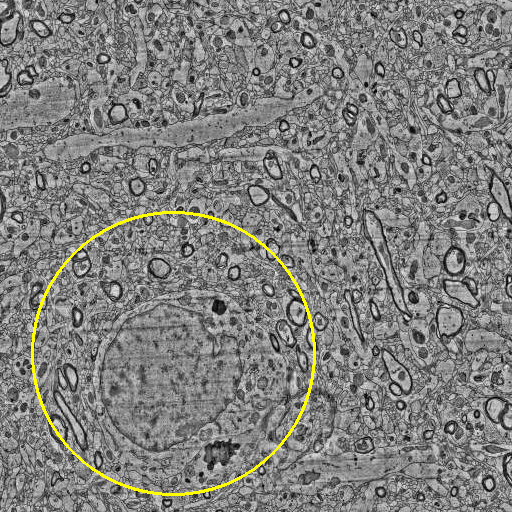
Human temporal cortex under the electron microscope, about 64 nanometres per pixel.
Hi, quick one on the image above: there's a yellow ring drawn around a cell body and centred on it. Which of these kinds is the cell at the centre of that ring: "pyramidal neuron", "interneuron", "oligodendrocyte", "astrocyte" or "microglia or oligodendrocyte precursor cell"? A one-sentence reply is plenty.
The cell at the centre of the ring is an interneuron.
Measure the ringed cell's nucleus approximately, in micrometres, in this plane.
The nucleus of the ringed cell is approximately 9 micrometres across in this plane.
